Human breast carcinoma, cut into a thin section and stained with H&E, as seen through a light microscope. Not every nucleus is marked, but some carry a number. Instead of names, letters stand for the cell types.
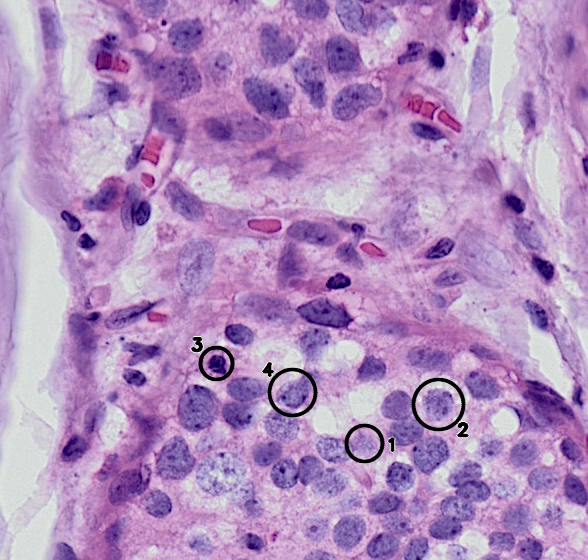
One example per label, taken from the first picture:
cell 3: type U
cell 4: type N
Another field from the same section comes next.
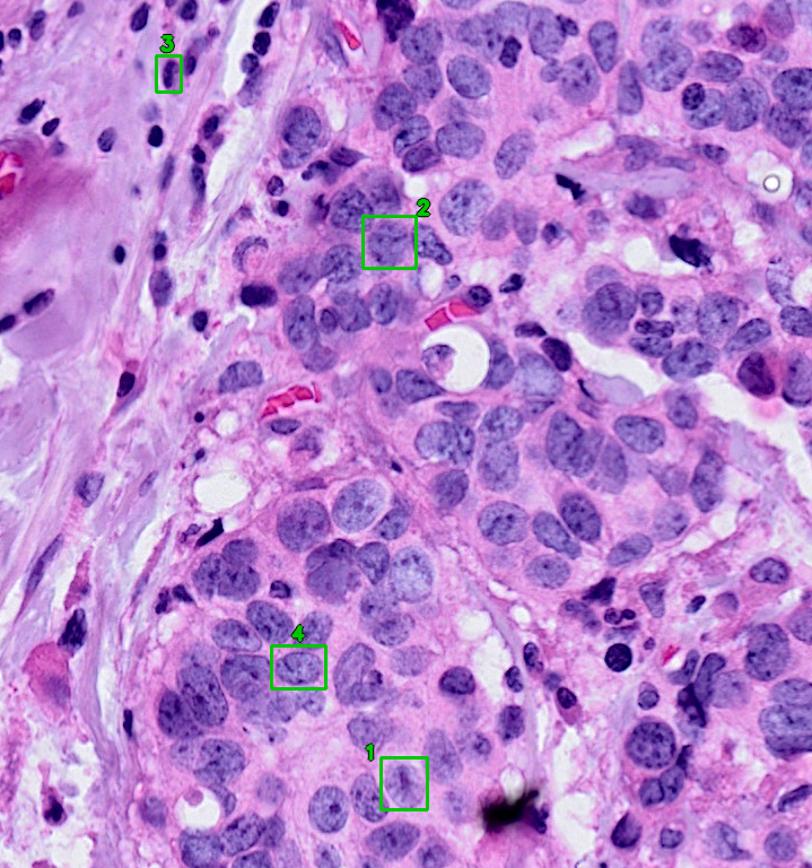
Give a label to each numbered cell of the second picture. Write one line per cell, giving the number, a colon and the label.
1: type N
2: type N
3: type U
4: type N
